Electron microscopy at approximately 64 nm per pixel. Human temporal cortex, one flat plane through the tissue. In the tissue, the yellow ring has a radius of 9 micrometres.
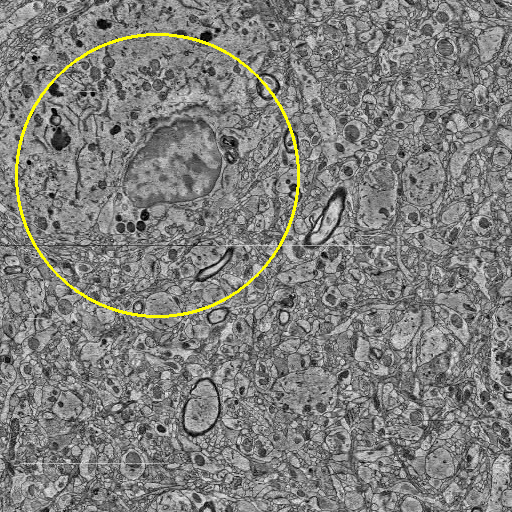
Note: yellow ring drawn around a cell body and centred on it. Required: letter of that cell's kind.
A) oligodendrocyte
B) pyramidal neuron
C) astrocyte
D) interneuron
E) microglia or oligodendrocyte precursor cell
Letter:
E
